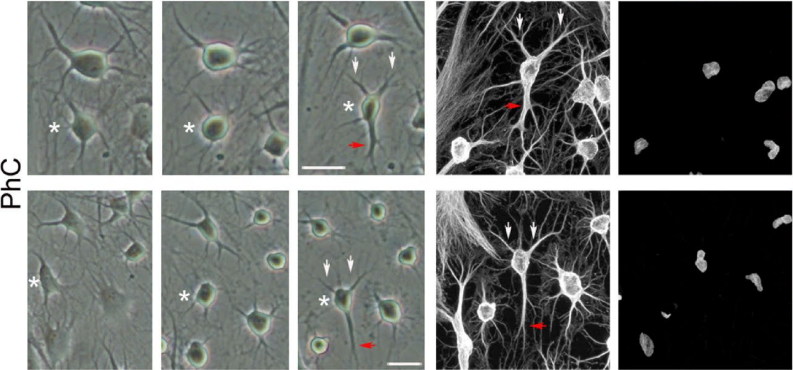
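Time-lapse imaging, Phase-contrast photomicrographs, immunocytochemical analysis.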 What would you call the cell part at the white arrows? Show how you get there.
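Dendrite-like. The white arrows point to several short, branching processes leaving the cell body. These processes are thinner and shorter than the process marked in red.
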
